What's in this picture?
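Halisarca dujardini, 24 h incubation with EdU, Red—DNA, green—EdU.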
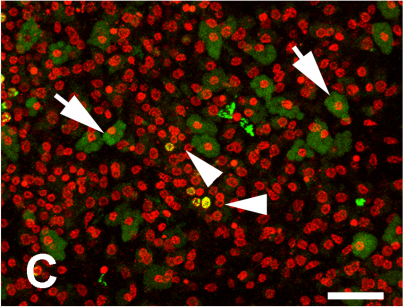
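Densely packed sponge cells with small round red nuclei fill the field. Scattered among them are larger cells whose cytoplasm is diffusely green around a red nucleus, and a few nuclei are themselves yellow-green.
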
